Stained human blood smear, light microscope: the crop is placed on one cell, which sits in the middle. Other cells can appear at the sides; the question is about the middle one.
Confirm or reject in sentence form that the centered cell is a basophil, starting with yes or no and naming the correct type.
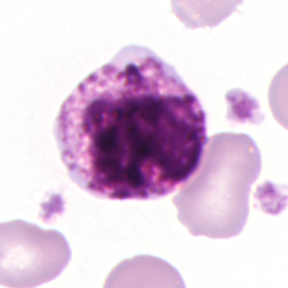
Yes, it is a basophil that is seen at the centre of the crop.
